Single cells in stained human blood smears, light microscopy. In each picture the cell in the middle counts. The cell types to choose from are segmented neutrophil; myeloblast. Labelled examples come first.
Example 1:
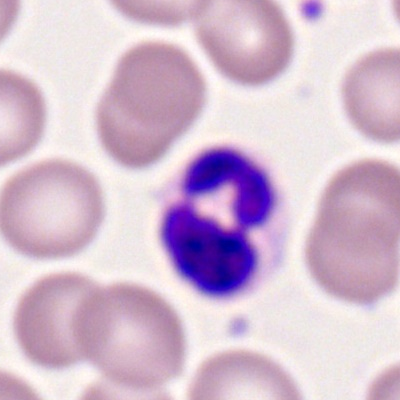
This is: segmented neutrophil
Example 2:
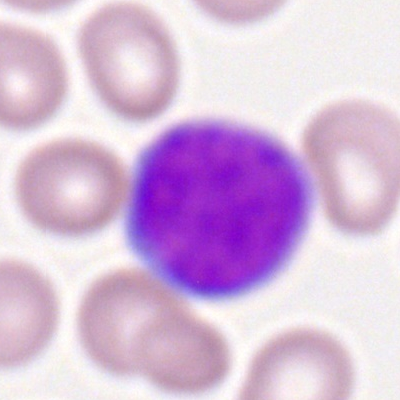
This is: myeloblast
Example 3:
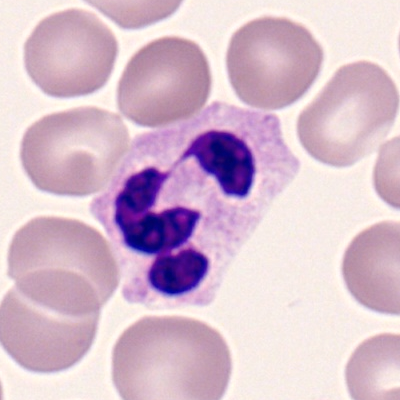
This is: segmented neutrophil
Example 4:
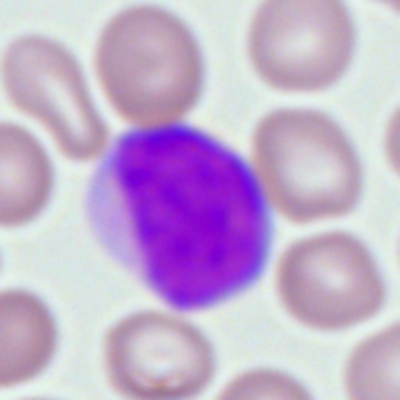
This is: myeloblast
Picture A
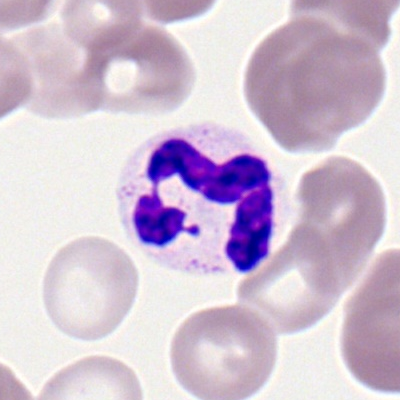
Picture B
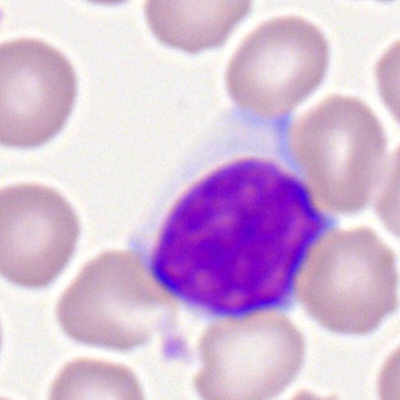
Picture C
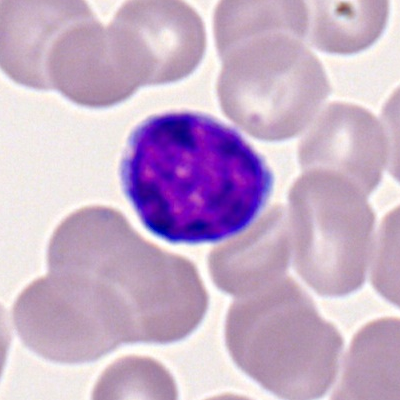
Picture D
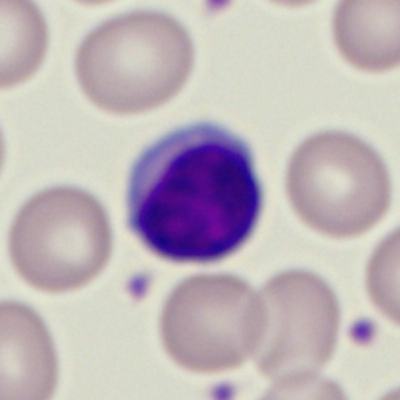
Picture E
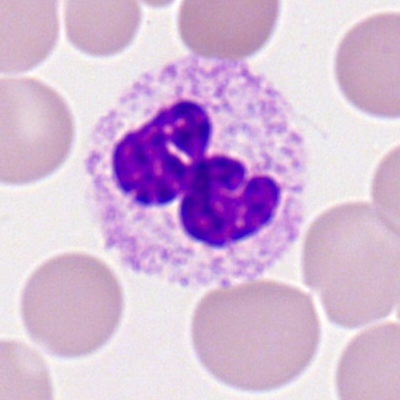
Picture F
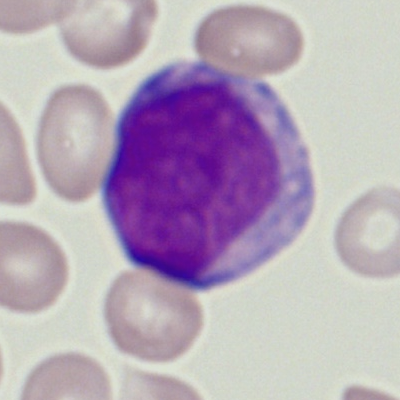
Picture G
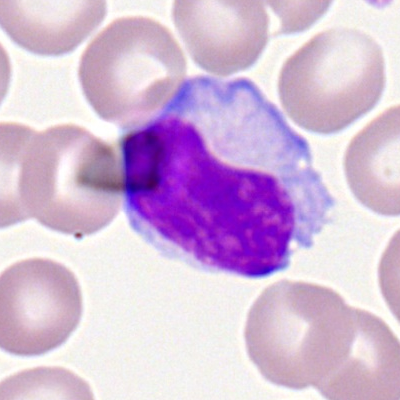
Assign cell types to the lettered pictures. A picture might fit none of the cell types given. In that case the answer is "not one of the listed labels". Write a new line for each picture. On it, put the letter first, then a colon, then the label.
A: segmented neutrophil
B: not one of the listed labels
C: not one of the listed labels
D: not one of the listed labels
E: segmented neutrophil
F: myeloblast
G: not one of the listed labels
